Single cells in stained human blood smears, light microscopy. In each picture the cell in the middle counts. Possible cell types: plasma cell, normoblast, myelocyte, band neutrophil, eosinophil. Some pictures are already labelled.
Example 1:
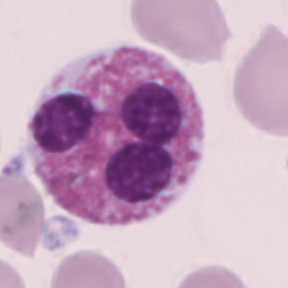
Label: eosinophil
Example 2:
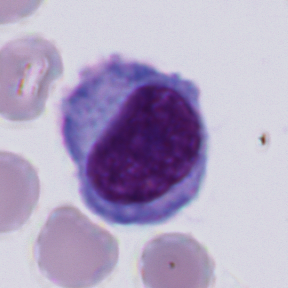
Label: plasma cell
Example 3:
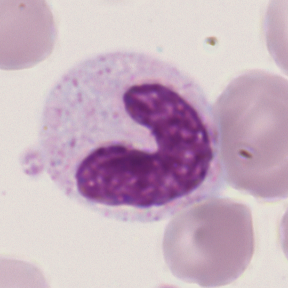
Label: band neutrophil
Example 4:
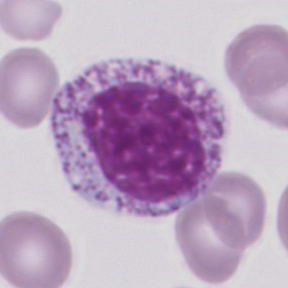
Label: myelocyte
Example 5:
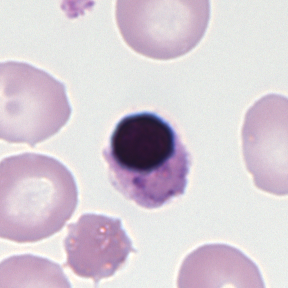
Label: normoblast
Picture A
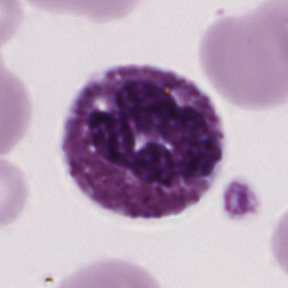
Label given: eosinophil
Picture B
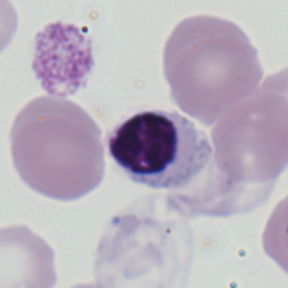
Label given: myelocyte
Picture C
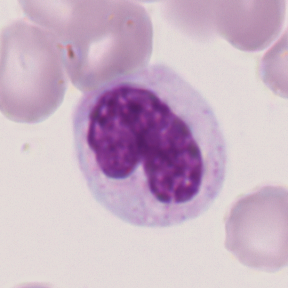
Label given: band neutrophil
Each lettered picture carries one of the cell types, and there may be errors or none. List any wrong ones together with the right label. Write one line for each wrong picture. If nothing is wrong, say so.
B: not myelocyte but normoblast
